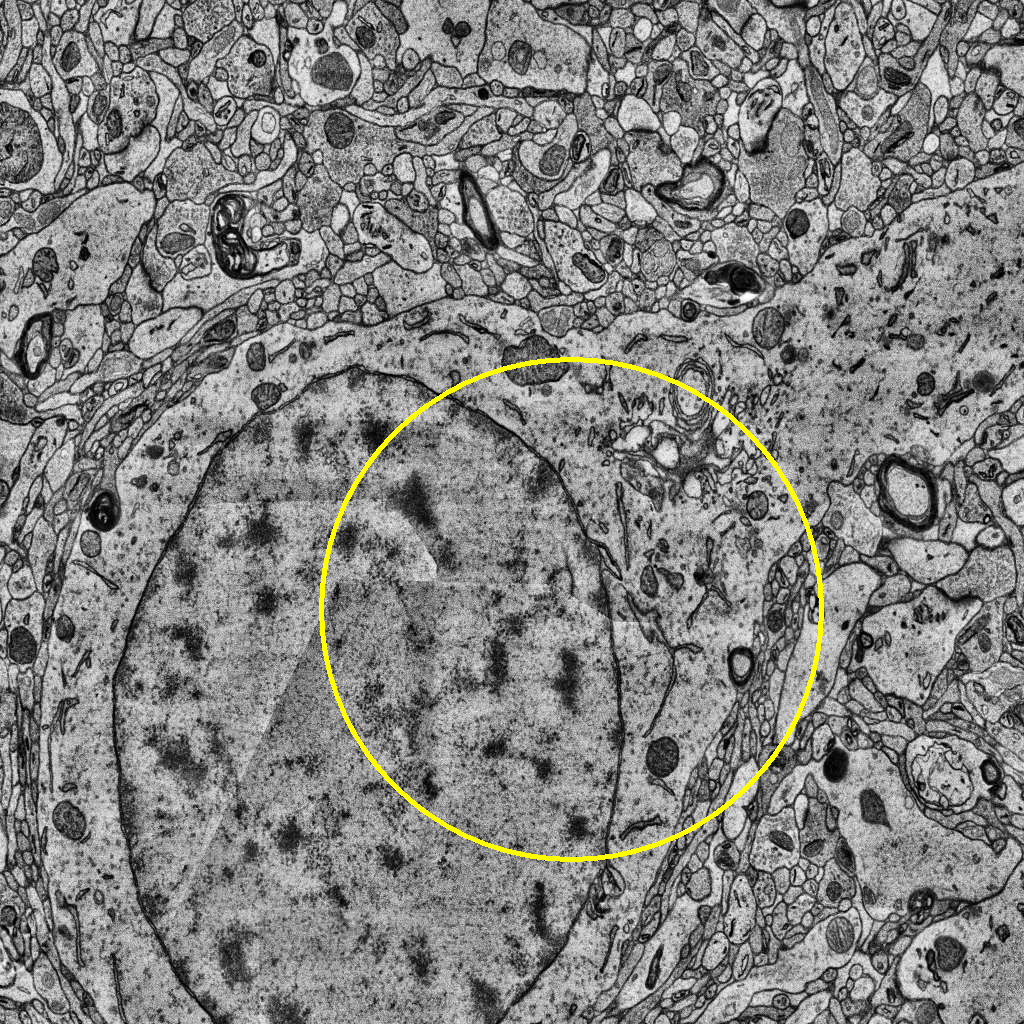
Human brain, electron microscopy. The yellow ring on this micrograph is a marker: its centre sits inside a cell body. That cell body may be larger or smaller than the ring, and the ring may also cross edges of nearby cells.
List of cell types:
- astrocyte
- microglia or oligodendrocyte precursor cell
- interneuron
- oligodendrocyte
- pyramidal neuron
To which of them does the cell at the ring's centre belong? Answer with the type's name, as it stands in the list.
pyramidal neuron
